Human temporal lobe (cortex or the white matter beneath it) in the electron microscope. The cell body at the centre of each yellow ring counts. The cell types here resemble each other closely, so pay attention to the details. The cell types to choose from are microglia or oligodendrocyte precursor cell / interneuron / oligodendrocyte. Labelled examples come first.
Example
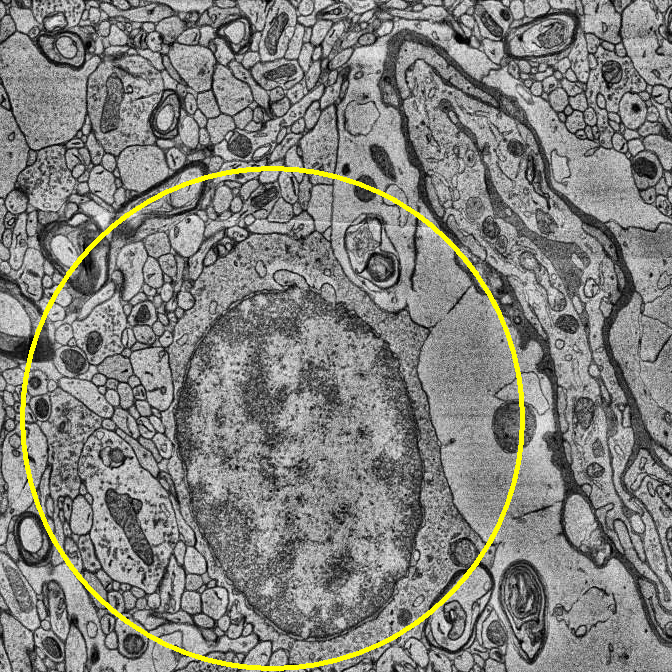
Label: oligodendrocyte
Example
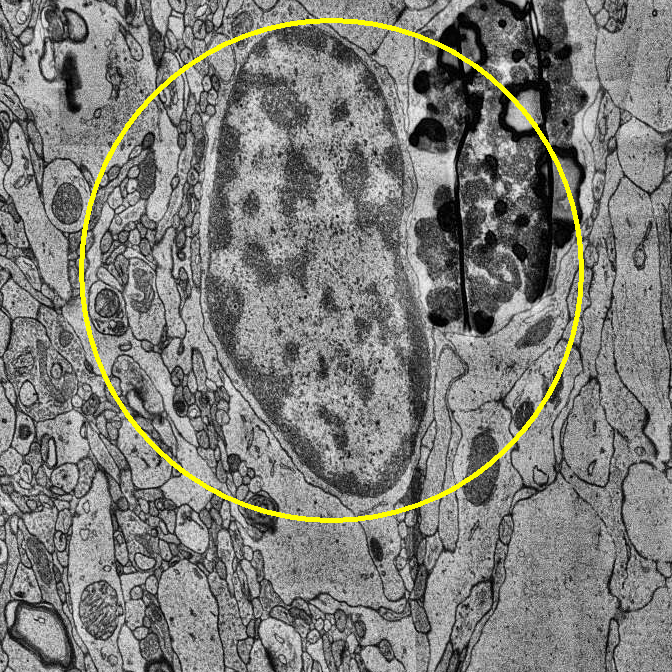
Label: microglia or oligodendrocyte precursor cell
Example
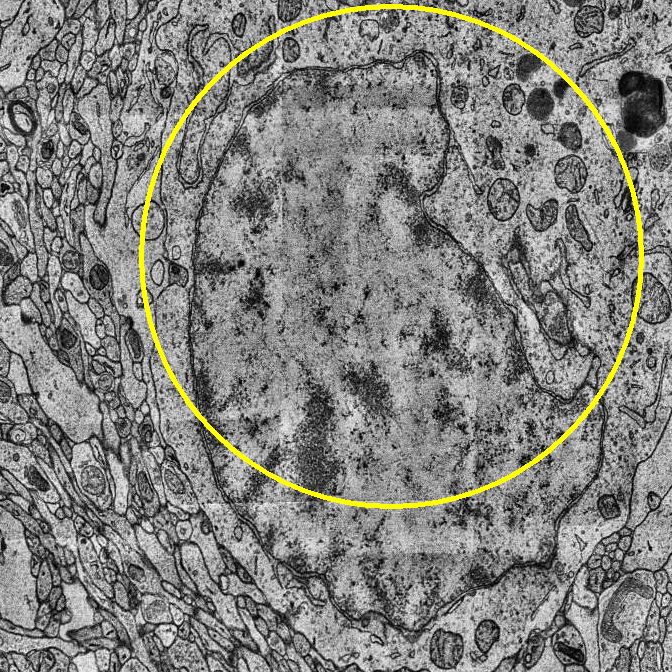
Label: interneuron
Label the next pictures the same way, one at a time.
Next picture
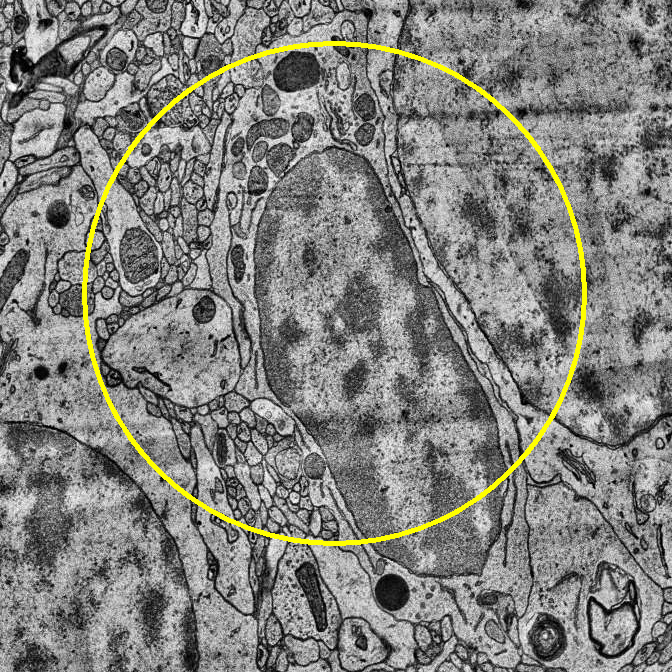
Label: microglia or oligodendrocyte precursor cell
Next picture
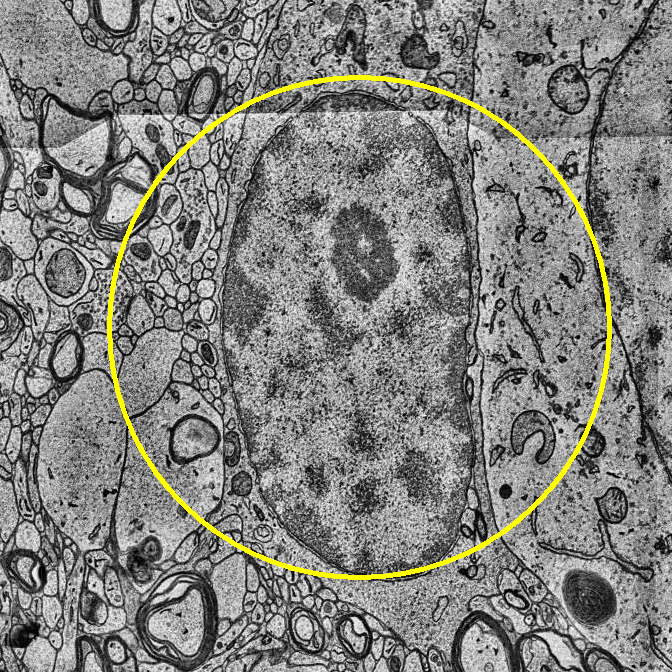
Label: oligodendrocyte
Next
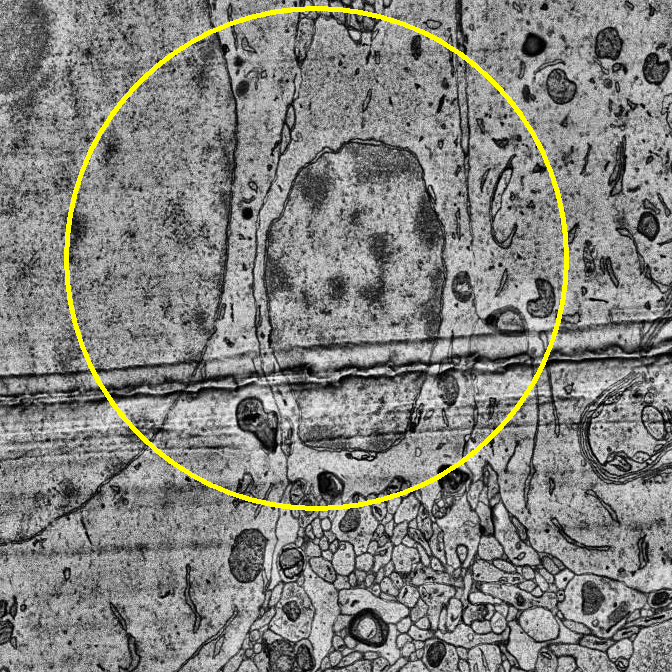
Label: microglia or oligodendrocyte precursor cell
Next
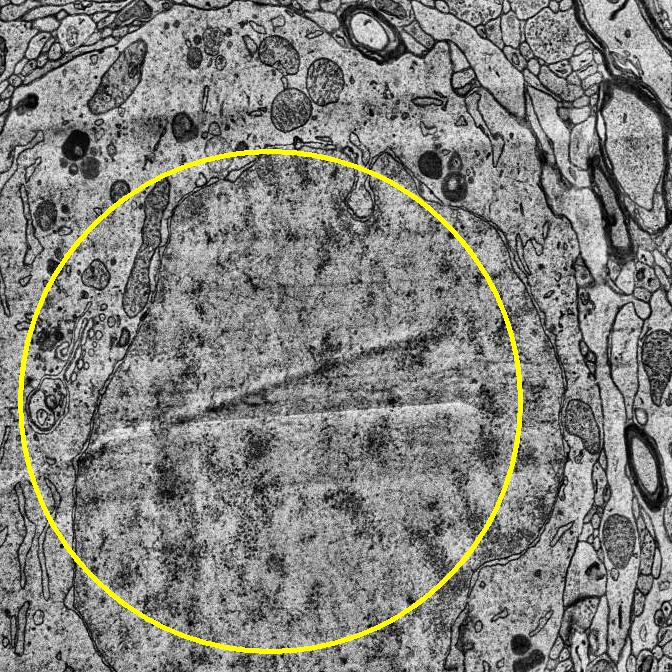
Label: interneuron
